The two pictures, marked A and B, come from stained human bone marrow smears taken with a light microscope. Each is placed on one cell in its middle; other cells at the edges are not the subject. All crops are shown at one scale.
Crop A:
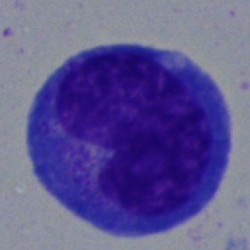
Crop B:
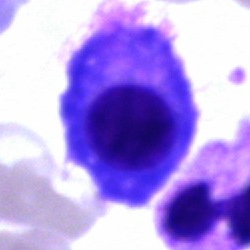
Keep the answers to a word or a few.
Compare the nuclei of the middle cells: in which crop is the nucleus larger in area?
A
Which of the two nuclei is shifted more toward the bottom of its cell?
B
